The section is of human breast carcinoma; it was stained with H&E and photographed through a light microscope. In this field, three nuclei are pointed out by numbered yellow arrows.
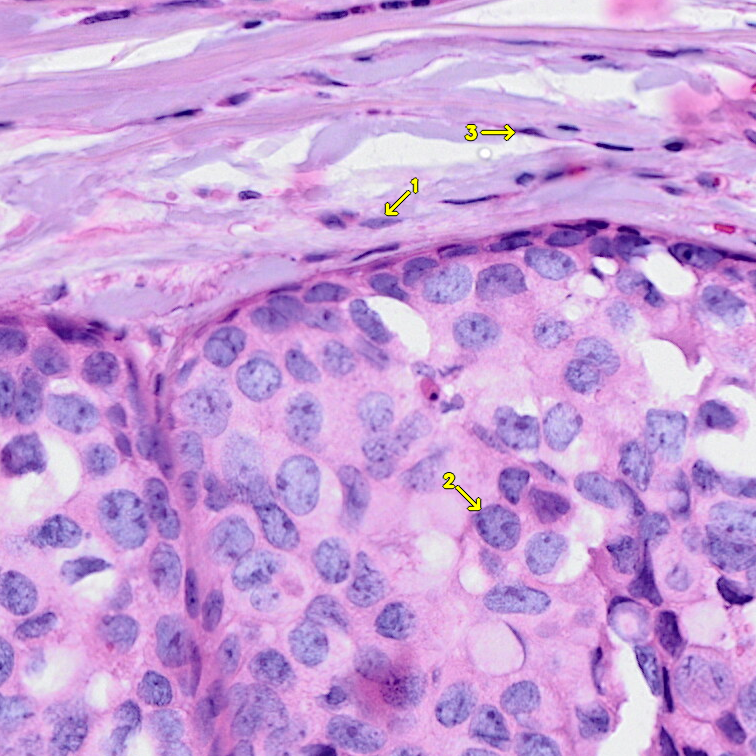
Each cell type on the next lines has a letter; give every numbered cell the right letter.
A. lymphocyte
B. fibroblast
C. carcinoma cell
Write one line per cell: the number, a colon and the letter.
1: B
2: C
3: B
